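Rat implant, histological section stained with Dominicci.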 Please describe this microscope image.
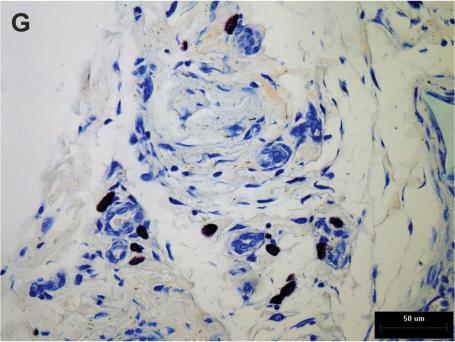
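Wide pale spaces separate strands and clusters of cells. Nuclei are mostly elongated or oval, some gathered in tight groups. Several dark purple-black oval cells lie close together in the lower middle of the field, with a few more scattered above.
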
